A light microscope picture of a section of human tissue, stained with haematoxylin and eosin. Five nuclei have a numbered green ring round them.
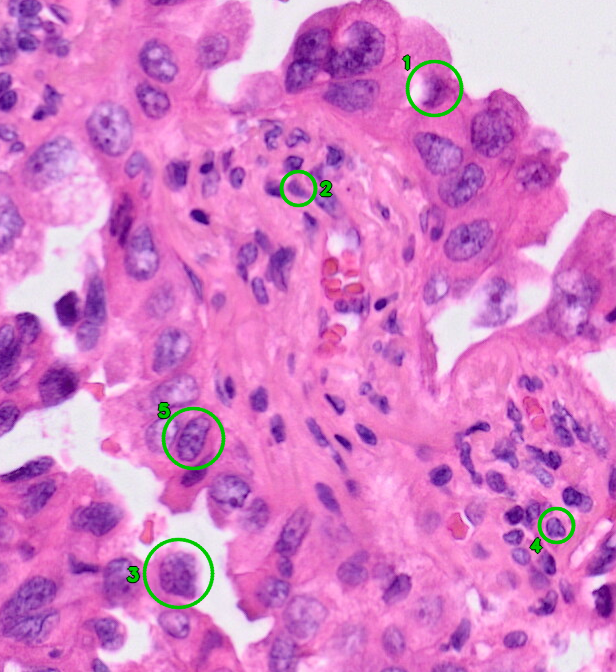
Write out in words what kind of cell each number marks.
Cell 1 is a carcinoma cell, cell 2 is a lymphocyte, cell 3 is a carcinoma cell, cell 4 is a lymphocyte and cell 5 is a carcinoma cell.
